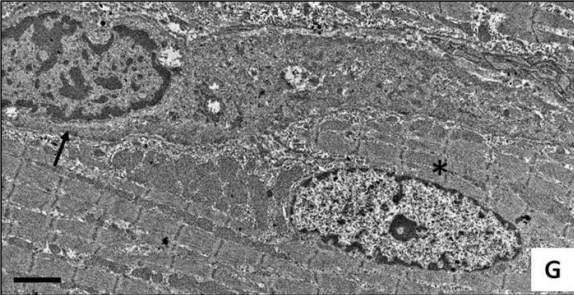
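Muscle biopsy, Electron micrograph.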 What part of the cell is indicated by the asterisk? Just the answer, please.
myonucleus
